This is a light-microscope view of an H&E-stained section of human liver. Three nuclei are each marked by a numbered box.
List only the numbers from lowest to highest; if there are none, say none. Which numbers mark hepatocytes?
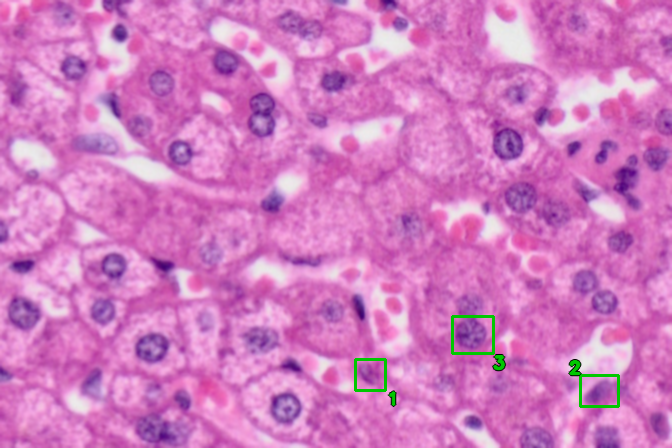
3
